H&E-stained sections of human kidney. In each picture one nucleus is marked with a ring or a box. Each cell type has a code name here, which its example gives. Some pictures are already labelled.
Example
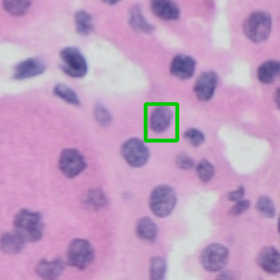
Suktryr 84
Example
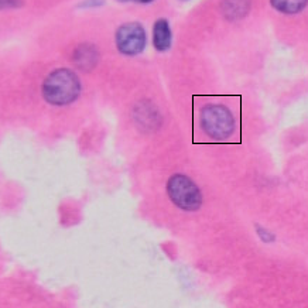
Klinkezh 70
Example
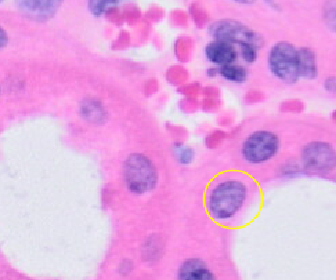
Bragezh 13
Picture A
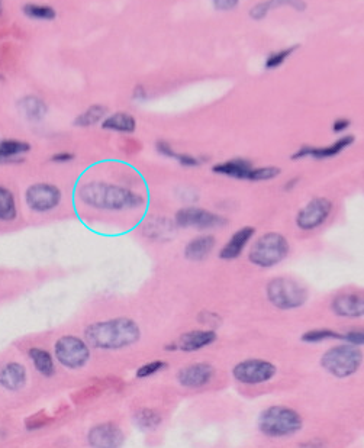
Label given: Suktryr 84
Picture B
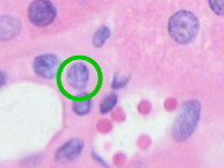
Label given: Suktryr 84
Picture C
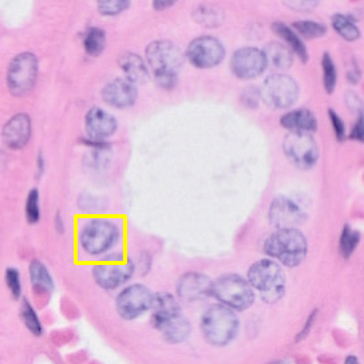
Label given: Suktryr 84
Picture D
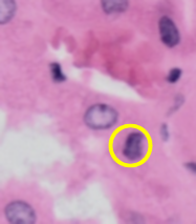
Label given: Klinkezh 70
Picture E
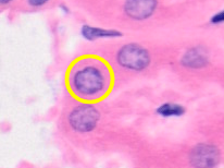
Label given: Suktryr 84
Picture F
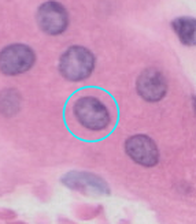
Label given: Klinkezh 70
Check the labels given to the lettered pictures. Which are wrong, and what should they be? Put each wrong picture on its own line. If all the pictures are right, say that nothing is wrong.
Wrong: E (Suktryr 84); correct: Klinkezh 70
